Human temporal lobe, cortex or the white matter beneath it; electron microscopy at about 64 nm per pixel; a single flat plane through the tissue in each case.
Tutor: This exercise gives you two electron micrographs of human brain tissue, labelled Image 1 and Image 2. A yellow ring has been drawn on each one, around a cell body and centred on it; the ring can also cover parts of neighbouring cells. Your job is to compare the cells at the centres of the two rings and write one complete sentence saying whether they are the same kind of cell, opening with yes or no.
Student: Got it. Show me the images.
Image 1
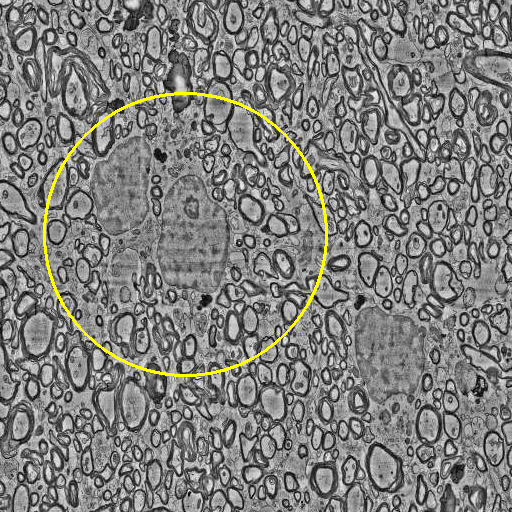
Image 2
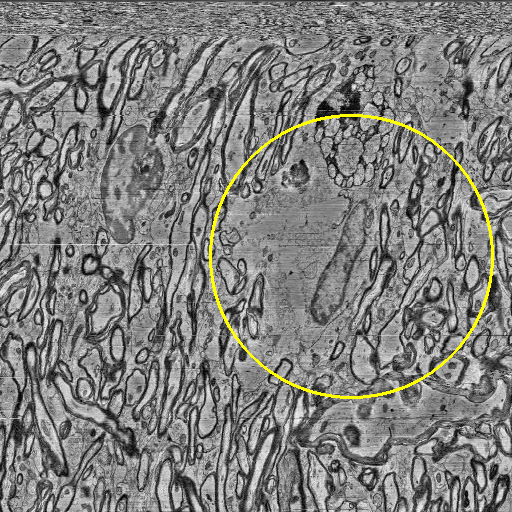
No, the two cells belong to two kinds.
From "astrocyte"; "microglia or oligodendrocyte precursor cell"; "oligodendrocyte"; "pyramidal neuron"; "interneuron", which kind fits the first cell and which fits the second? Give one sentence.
The cell marked in the first picture is an oligodendrocyte, and the one marked in the second is an astrocyte.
